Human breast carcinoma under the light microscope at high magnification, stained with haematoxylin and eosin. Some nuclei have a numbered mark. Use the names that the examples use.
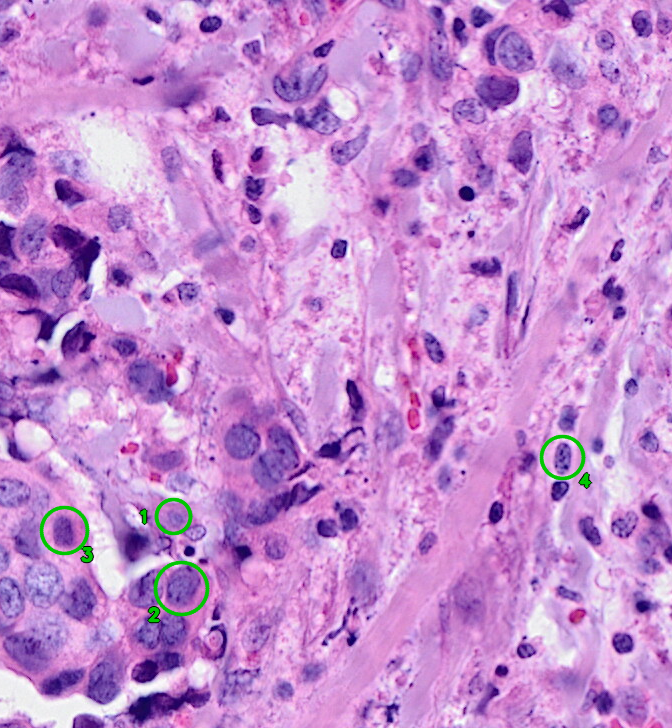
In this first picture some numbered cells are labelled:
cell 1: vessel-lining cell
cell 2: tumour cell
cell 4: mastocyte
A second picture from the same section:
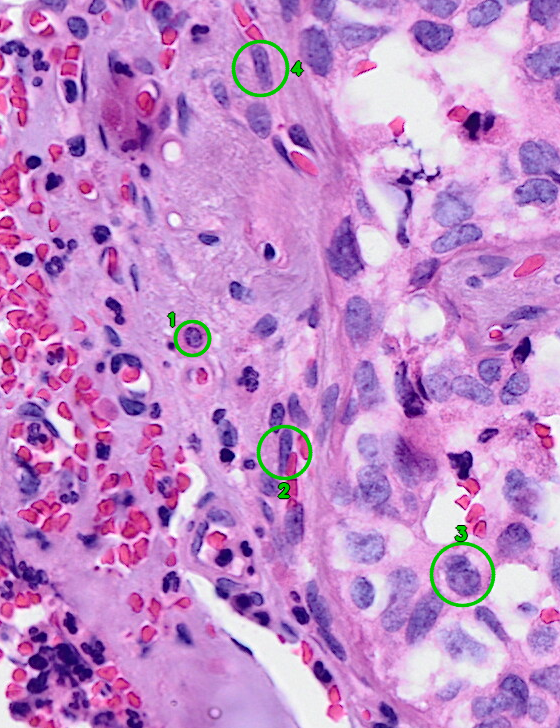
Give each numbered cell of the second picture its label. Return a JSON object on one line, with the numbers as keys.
{"1": "mastocyte", "2": "vessel-lining cell", "3": "tumour cell", "4": "vessel-lining cell"}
